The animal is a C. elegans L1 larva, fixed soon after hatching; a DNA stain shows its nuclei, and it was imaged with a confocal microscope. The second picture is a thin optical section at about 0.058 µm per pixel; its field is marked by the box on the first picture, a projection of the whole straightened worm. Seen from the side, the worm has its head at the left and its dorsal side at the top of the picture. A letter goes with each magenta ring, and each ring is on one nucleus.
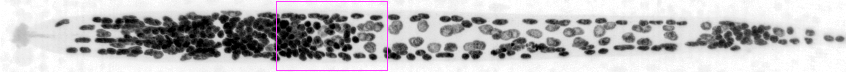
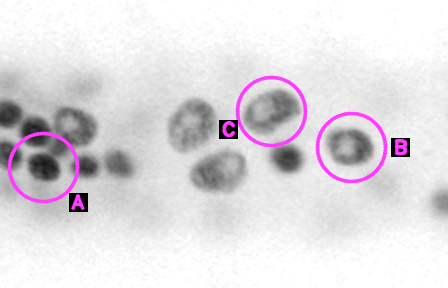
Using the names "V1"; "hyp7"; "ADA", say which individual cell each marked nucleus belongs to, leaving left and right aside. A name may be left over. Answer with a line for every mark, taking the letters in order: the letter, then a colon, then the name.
A: ADA
B: V1
C: hyp7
